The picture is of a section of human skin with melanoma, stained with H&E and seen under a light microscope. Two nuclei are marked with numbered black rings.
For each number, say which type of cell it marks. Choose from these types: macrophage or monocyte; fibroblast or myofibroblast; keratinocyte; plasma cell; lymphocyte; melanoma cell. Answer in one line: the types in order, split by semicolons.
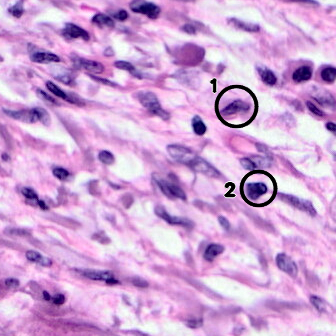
macrophage or monocyte; lymphocyte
